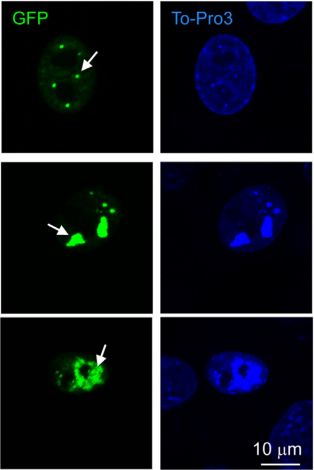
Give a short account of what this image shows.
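In the upper pair an oval nucleus holds a few small, round, sharply defined green dots scattered through a faint green background. In the middle pair one nucleus carries a large, irregular, very bright green mass beside several small dots, and this mass also appears bright in the blue channel. In the lower pair the green fills the nucleus as coarse granular clusters around a darker central area. Neighbouring nuclei appear only faintly blue, without green bodies.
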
